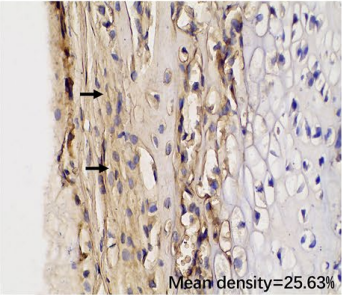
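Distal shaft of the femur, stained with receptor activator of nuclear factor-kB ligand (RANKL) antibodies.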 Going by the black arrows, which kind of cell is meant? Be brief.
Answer: Osteoblasts.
